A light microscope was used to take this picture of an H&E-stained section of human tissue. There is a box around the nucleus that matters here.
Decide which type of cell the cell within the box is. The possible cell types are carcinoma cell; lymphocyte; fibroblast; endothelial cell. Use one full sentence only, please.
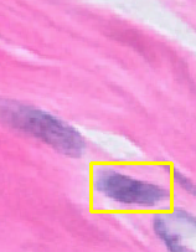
In this field of tissue, the cell within the box is an endothelial cell.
